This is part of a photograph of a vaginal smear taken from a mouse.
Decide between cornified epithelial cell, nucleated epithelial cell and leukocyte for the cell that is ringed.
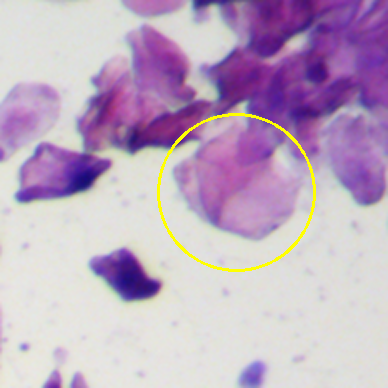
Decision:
I take the ringed cell for a cornified epithelial cell.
